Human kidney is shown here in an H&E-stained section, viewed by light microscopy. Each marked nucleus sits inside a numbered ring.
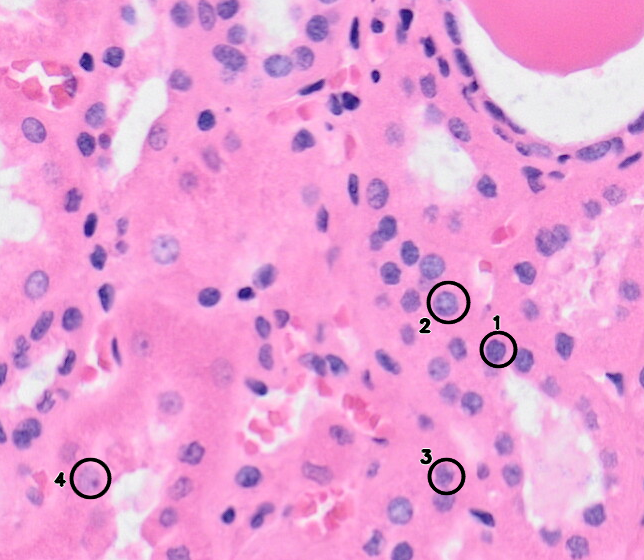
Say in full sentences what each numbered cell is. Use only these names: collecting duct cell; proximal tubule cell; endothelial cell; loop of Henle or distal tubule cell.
Cells 1, 2 and 3 are loop of Henle or distal tubule cells. Cell 4 is a proximal tubule cell.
